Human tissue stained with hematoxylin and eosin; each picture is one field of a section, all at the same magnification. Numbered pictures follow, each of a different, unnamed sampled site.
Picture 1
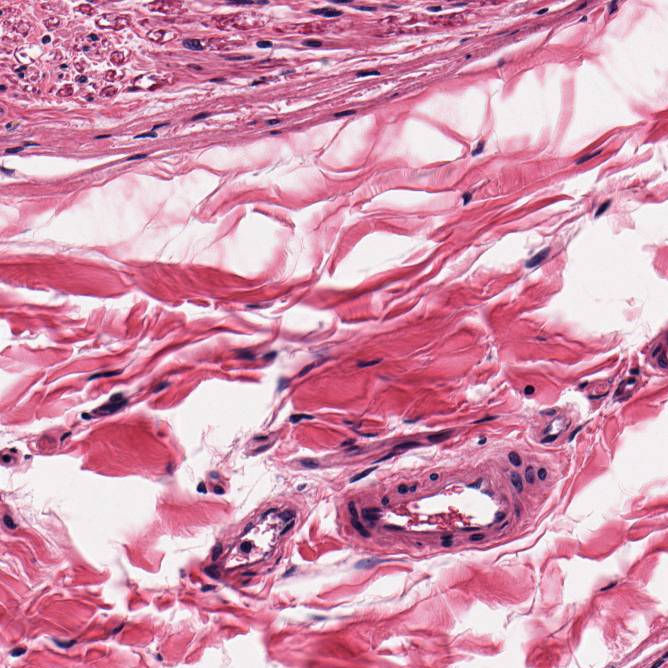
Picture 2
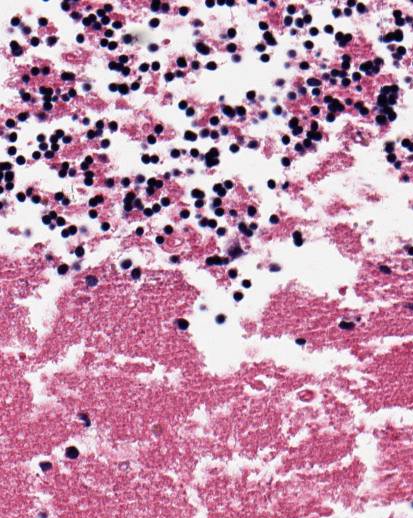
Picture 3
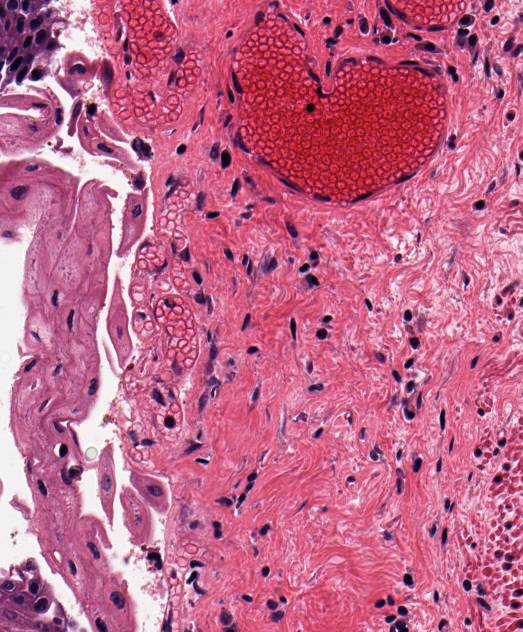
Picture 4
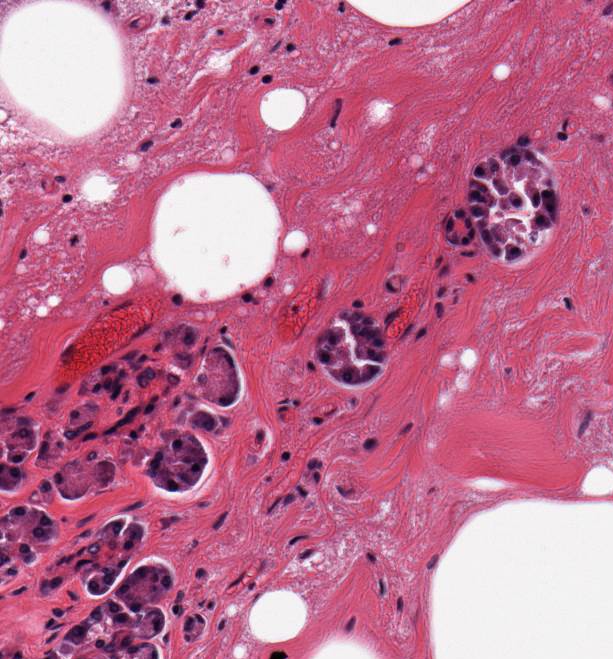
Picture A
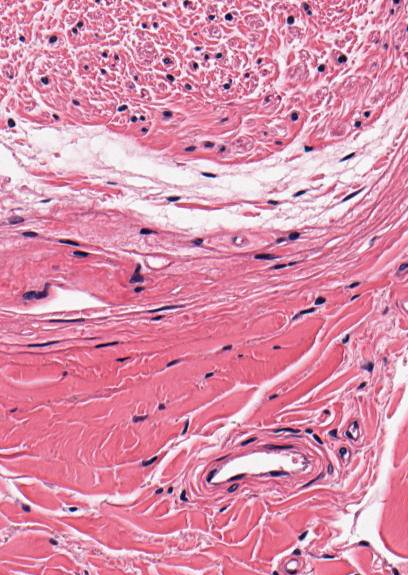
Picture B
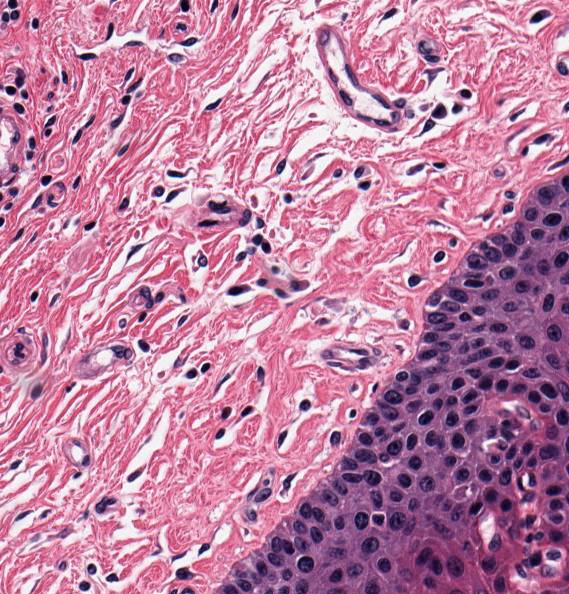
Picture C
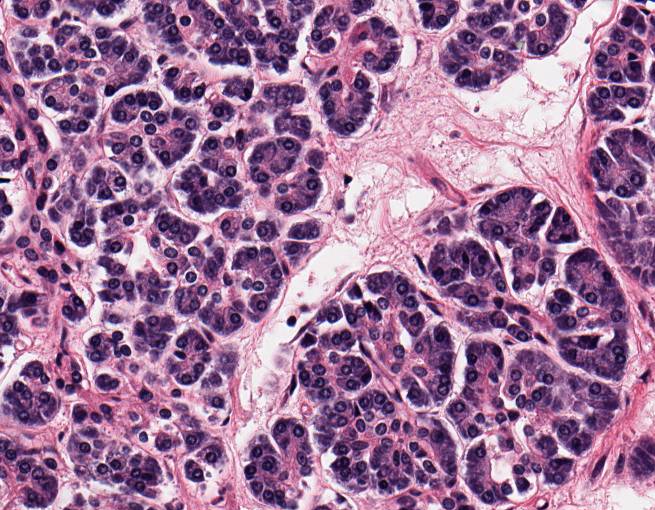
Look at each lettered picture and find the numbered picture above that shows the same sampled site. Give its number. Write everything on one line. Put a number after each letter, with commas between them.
A 1, B 3, C 4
